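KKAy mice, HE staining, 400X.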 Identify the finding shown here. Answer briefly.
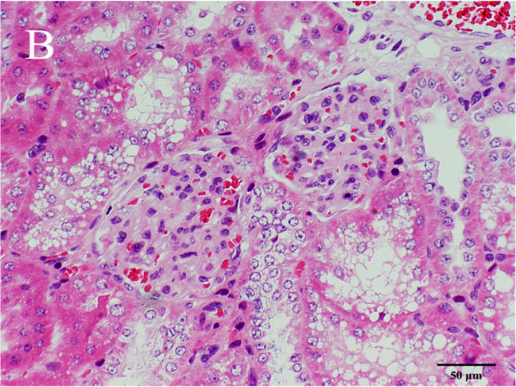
Vacuolar degeneration.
